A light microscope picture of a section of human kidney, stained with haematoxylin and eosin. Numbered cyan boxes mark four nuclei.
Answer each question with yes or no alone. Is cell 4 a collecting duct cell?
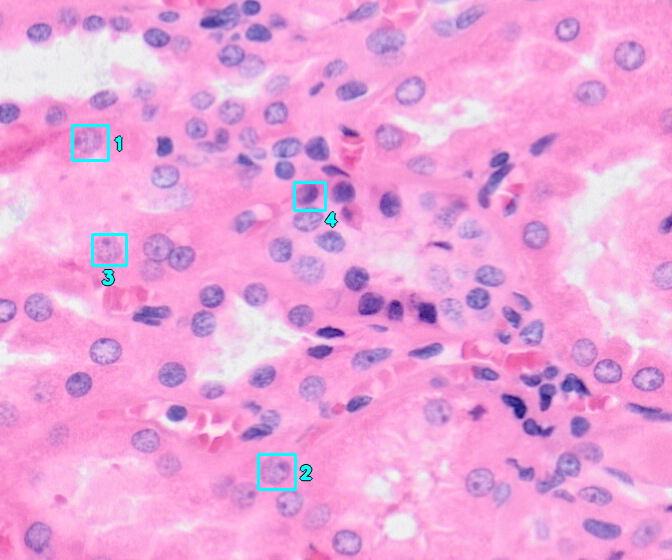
yes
